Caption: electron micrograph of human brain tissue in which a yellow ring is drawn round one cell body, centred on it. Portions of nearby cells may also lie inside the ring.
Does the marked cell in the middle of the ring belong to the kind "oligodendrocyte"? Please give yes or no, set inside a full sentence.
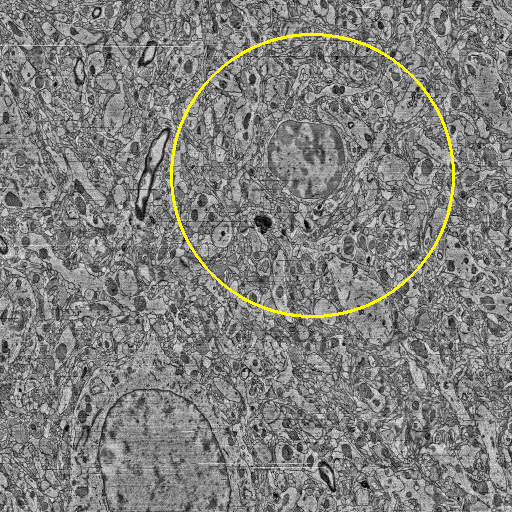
No, the marked cell that the ring is centred on in the picture is of another kind.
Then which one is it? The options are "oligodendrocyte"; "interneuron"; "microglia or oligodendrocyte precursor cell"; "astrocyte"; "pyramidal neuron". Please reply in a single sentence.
The ring holds a microglial cell or oligodendrocyte precursor cell at its centre.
